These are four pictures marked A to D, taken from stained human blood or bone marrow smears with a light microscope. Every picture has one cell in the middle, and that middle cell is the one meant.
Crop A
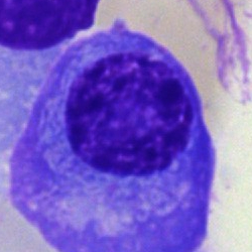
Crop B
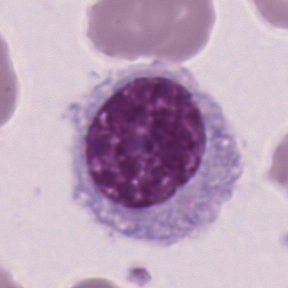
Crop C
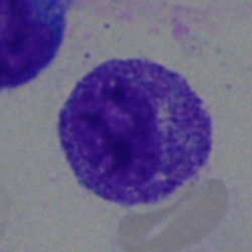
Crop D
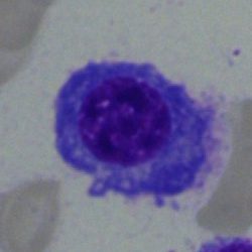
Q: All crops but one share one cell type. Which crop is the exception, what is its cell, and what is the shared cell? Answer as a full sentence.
Among these crops, plasma cells occur in all but crop C, which contains a myelocyte.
